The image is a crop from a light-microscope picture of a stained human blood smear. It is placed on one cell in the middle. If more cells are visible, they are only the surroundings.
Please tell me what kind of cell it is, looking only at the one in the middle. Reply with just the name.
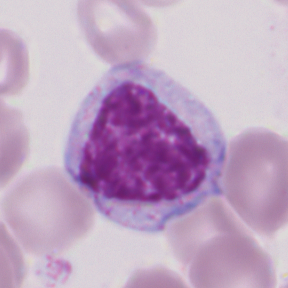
myelocyte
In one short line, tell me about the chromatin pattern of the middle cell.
Answer: the chromatin in this nucleus is coarsely clumped.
